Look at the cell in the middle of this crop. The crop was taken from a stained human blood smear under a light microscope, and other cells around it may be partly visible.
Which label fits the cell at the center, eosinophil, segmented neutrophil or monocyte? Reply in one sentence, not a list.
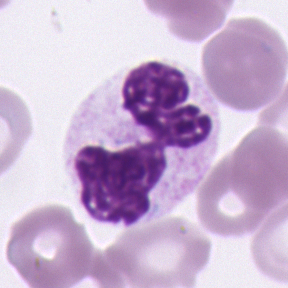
The cell centred in this crop is categorized as a segmented neutrophil.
